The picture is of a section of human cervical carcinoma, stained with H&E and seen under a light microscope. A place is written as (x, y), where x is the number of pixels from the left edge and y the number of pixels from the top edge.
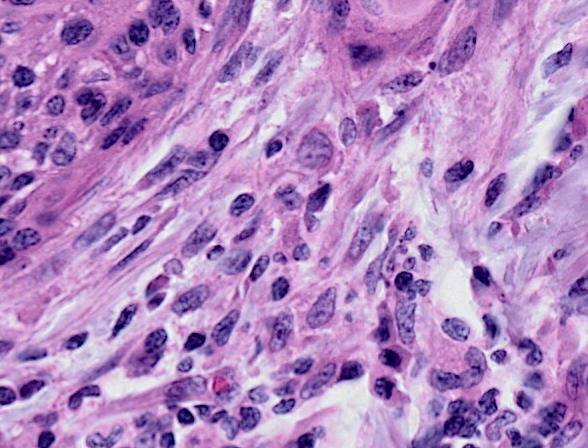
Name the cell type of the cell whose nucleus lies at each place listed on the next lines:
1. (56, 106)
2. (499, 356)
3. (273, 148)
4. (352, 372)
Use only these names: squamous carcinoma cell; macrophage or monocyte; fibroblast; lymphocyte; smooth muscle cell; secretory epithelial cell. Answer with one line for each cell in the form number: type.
1: squamous carcinoma cell
2: lymphocyte
3: lymphocyte
4: lymphocyte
